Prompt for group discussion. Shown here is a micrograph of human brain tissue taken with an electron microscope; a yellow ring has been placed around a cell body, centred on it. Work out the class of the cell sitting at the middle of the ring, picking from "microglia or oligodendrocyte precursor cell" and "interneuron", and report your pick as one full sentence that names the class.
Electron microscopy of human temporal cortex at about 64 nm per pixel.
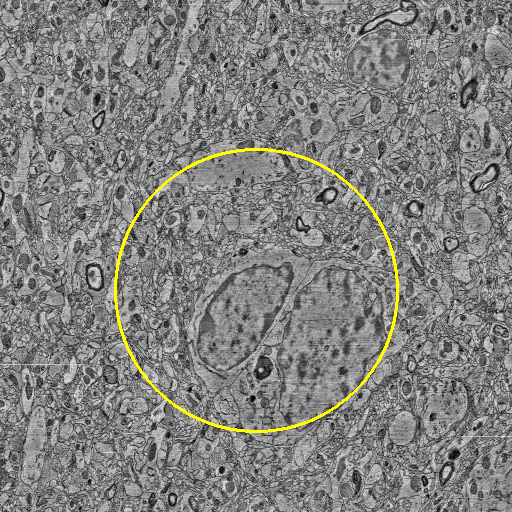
The cell sitting at the middle of the yellow ring is a microglial cell or oligodendrocyte precursor cell.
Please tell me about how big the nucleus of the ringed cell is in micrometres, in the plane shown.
Clearly longer than it is wide in this plane, the nucleus measures roughly 8 by 4 micrometres.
